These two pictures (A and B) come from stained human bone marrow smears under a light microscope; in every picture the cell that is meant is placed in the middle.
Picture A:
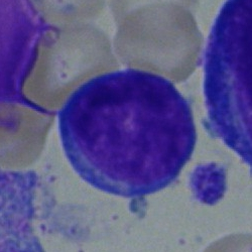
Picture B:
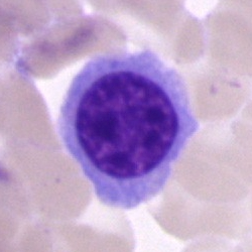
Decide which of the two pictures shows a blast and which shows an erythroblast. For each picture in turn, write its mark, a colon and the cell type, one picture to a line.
A: blast
B: erythroblast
